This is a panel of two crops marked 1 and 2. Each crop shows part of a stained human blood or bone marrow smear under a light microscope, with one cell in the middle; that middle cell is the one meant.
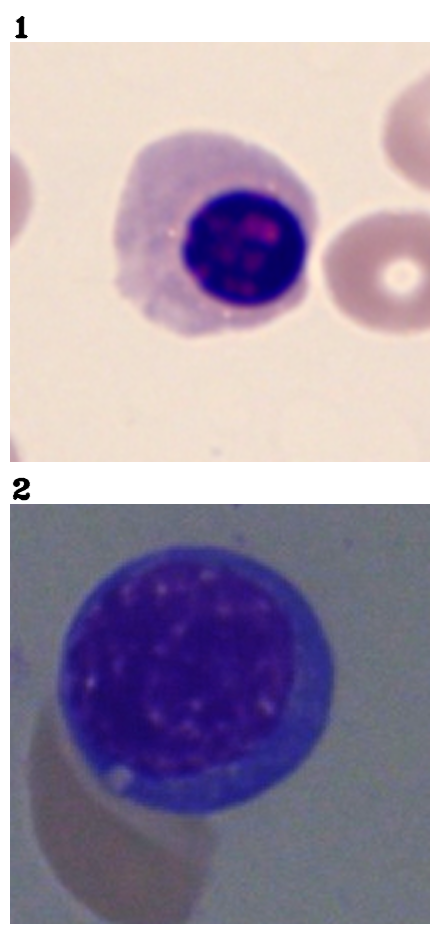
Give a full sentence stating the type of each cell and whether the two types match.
Yes, for both crops, the central cells are normoblasts.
